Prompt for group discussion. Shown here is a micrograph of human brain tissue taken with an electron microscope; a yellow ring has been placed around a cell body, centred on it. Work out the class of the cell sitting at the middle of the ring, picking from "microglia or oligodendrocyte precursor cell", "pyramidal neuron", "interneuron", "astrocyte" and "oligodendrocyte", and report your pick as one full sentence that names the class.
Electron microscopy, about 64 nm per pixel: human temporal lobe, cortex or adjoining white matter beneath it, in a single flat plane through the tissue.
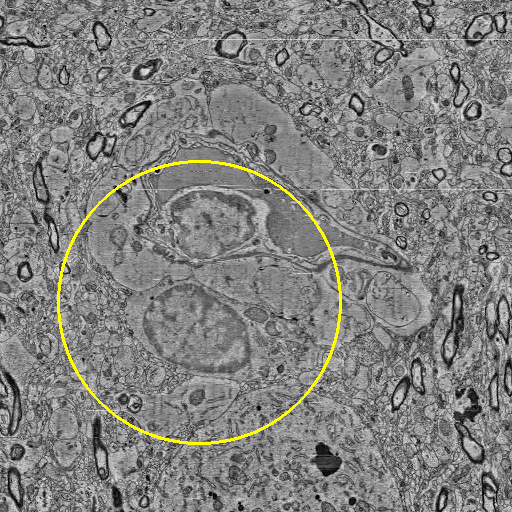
The cell sitting at the middle of the yellow ring is an oligodendrocyte.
